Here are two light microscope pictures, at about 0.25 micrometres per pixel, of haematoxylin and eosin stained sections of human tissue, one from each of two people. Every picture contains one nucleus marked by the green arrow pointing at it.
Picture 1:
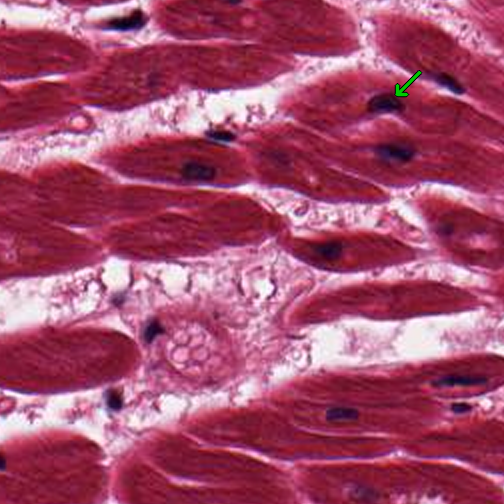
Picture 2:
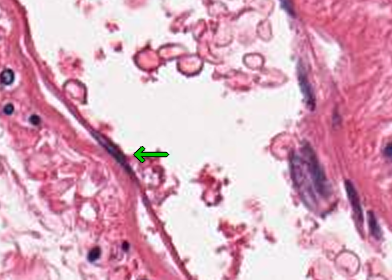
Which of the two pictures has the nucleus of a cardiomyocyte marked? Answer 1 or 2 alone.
1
